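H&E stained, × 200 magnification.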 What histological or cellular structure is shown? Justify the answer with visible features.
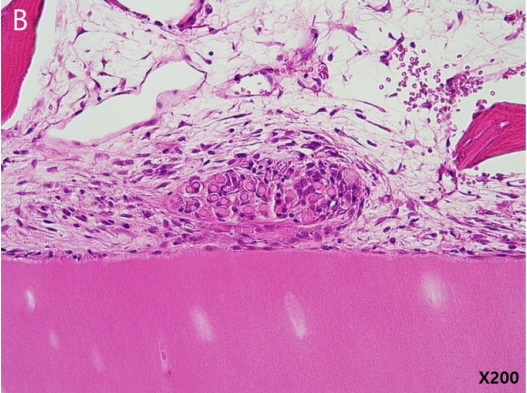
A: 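The upper edge of the lower pink matrix runs as a straight, smooth line. Flattened cells lie along the surface without entering it. So: flat bone-cartilage interface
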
